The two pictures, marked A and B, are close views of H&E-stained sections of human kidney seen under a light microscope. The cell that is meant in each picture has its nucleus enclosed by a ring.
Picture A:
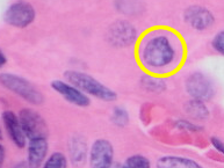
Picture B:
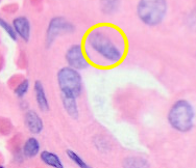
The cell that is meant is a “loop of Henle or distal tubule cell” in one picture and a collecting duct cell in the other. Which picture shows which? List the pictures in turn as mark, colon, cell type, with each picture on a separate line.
A: loop of Henle or distal tubule cell
B: collecting duct cell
